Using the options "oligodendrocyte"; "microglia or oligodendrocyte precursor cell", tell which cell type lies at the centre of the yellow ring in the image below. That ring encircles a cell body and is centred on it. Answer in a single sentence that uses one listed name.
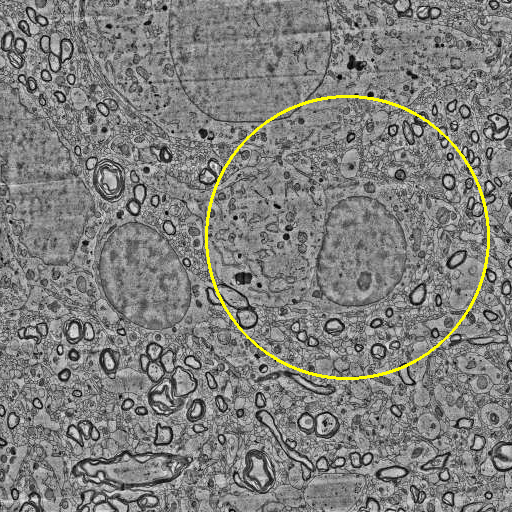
At the centre of the yellow ring lies the body of an oligodendrocyte.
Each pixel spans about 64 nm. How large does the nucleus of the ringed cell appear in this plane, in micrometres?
Approximately 7 micrometres long and 6 micrometres wide, in this plane.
